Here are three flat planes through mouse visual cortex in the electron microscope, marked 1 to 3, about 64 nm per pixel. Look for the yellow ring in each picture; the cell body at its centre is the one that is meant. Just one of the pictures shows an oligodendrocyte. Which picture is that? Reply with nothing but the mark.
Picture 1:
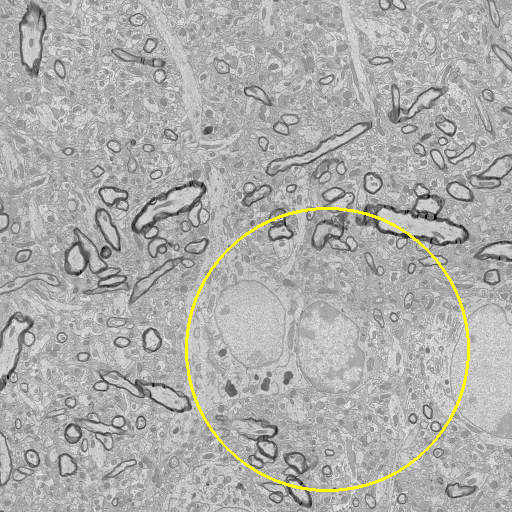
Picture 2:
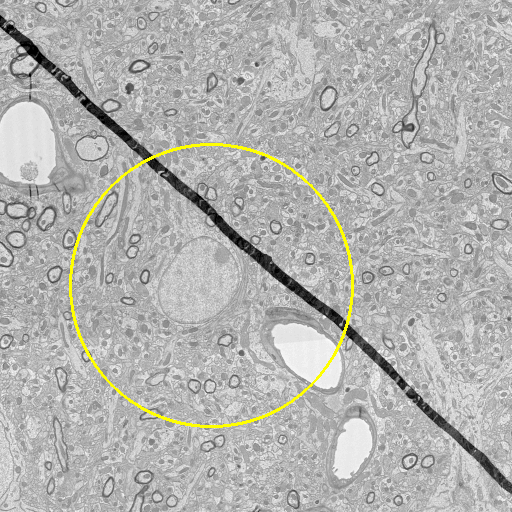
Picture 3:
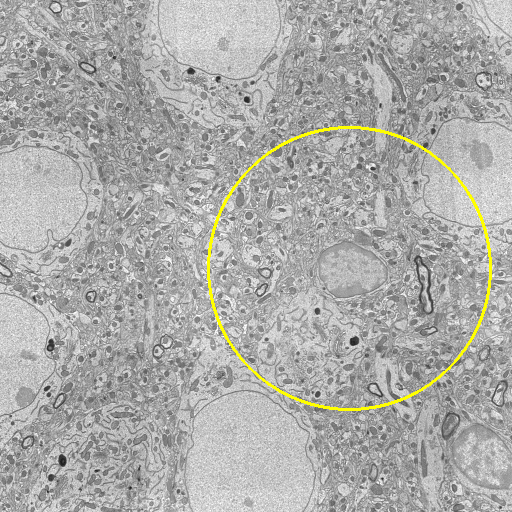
1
